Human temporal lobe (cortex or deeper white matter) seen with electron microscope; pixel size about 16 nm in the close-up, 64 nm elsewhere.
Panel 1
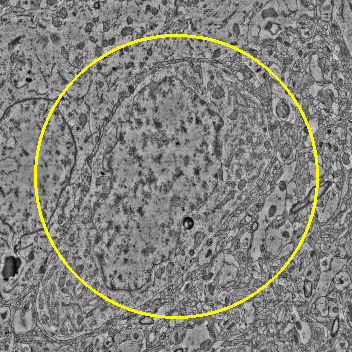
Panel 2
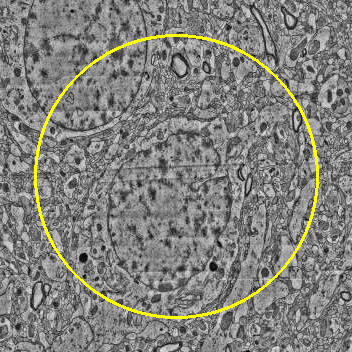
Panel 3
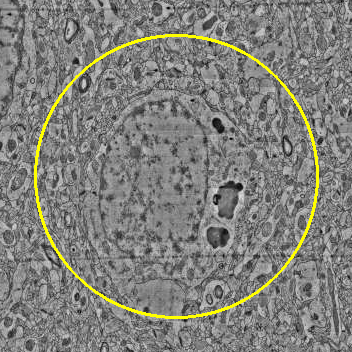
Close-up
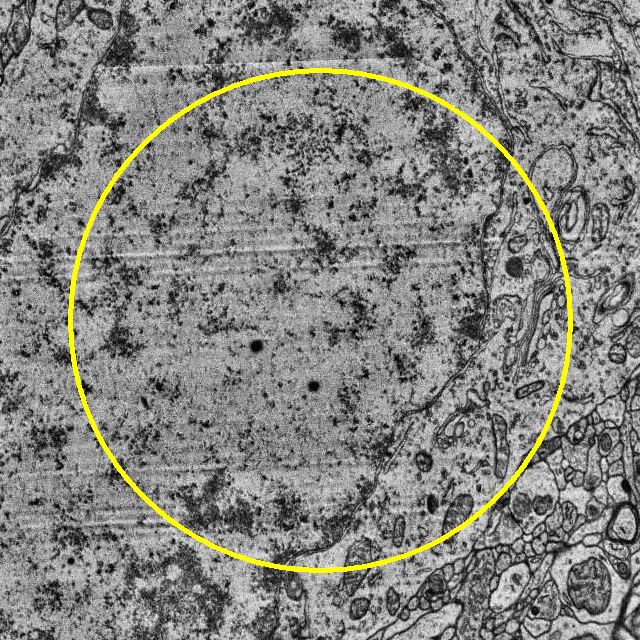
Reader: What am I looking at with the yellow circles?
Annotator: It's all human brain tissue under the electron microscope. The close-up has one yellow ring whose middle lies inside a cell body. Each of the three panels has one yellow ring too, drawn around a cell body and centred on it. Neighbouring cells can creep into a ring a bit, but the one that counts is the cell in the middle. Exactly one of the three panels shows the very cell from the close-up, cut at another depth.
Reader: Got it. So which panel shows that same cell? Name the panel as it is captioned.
Panel 1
